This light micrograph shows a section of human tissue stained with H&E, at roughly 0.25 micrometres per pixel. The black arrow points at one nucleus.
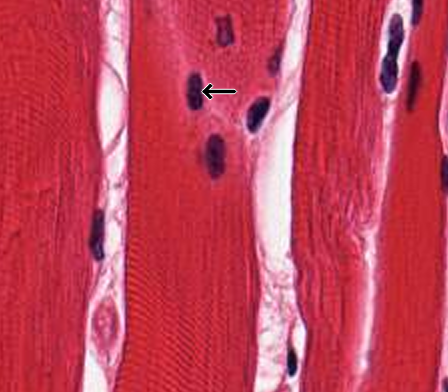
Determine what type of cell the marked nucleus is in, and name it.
skeletal muscle fibre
